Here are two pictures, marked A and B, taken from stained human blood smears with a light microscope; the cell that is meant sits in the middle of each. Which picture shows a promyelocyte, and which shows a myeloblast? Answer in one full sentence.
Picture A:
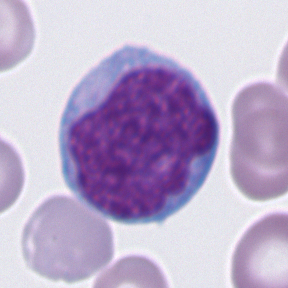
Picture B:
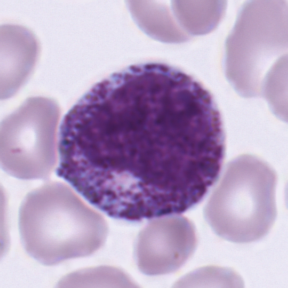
Picture A shows a myeloblast and picture B shows a promyelocyte.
